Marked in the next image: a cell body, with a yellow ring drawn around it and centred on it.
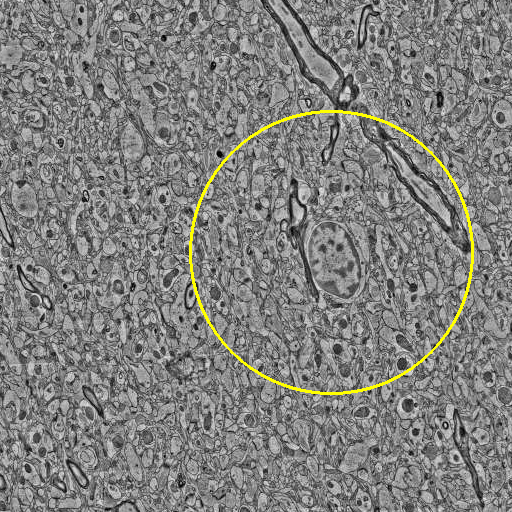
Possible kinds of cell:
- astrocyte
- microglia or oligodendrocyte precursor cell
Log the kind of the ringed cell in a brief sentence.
The ringed cell body is that of a microglial cell or oligodendrocyte precursor cell.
